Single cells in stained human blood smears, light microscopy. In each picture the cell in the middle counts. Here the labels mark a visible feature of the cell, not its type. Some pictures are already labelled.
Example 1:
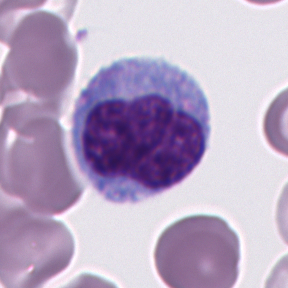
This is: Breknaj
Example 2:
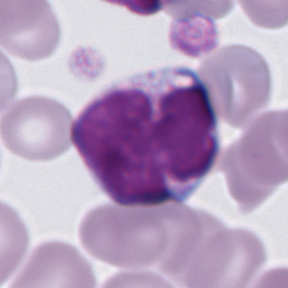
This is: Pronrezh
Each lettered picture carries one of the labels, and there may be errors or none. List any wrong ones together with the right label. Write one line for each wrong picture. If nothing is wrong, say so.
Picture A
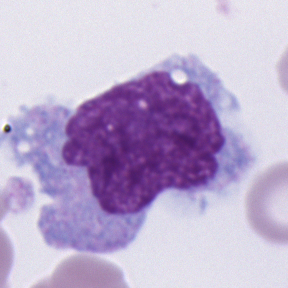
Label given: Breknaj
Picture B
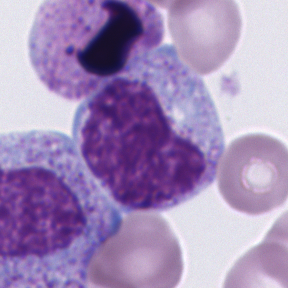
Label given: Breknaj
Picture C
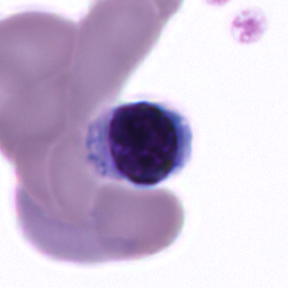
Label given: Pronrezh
Wrong: A (Breknaj); correct: Pronrezh
Wrong: B (Breknaj); correct: Pronrezh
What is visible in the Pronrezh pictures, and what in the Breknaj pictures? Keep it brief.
In Pronrezh: vacuoles present. In Breknaj: no vacuoles.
